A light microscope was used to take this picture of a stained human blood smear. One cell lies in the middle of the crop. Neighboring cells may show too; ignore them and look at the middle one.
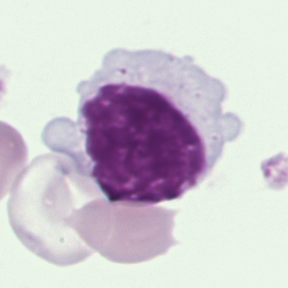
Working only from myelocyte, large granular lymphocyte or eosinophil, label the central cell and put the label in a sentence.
In this crop, the cell at the very middle is a large granular lymphocyte.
